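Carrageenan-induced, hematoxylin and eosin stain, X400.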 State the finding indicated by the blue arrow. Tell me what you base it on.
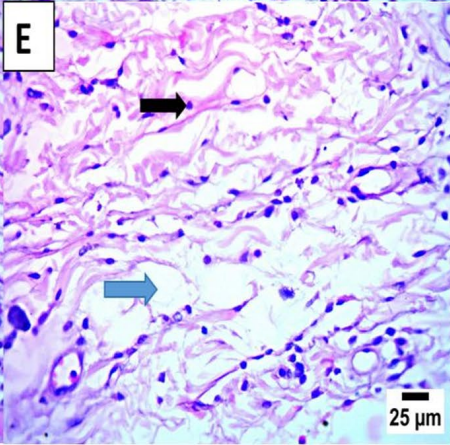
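Pale, empty-looking spaces separate loosened pink collagen fibres.
Hence: edema.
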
